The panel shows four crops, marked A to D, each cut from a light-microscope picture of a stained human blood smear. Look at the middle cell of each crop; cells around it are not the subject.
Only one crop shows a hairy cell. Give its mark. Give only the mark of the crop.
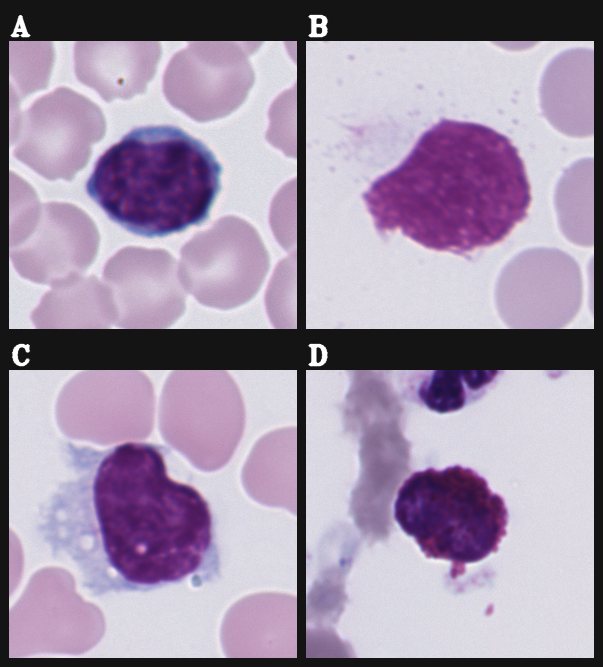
C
